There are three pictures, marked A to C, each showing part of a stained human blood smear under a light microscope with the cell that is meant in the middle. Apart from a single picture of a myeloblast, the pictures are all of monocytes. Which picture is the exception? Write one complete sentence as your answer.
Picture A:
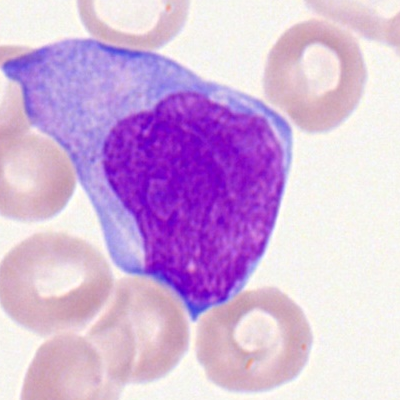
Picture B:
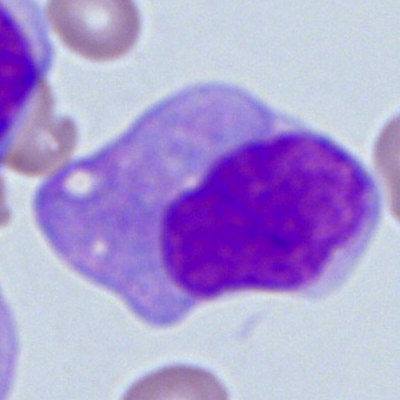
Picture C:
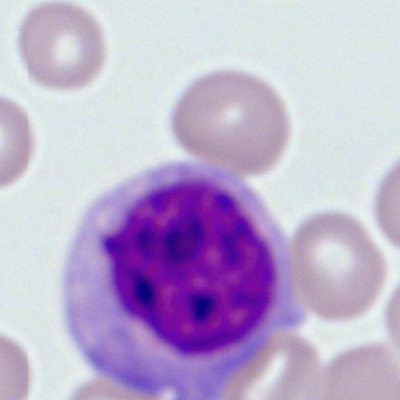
Picture A shows the myeloblast.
